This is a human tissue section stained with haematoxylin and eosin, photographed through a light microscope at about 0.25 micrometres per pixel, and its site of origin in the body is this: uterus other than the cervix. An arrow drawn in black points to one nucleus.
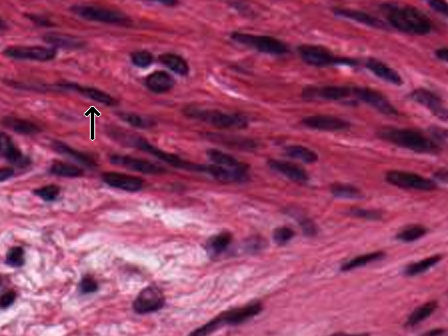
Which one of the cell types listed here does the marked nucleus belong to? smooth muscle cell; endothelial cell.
smooth muscle cell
